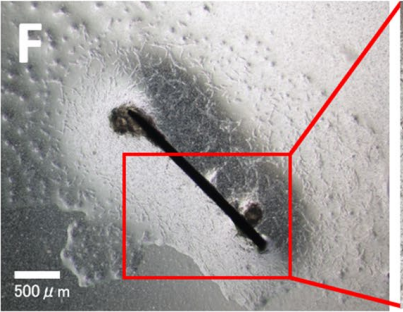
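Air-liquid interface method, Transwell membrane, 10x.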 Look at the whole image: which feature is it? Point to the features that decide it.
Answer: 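A long dark rod-shaped structure lies across the membrane. A rounded dark bulb sits at one end of the rod. The answer: Hair follicles.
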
